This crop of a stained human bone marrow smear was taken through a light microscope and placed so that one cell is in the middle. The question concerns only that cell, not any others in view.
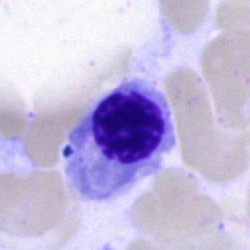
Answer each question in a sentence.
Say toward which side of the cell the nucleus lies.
Seen from the middle of the cell, the nucleus lies toward the upper right.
